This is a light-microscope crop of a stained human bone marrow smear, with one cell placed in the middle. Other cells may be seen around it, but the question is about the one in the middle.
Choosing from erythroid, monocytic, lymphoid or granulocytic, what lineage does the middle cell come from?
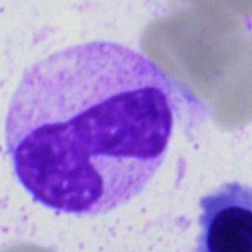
granulocytic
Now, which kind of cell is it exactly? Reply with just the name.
band neutrophil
